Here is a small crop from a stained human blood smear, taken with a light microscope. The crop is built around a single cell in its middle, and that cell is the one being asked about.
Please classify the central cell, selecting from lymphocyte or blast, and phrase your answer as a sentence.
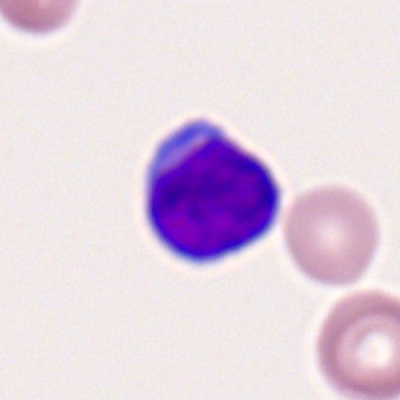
The centrally located cell in the crop is a lymphocyte.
